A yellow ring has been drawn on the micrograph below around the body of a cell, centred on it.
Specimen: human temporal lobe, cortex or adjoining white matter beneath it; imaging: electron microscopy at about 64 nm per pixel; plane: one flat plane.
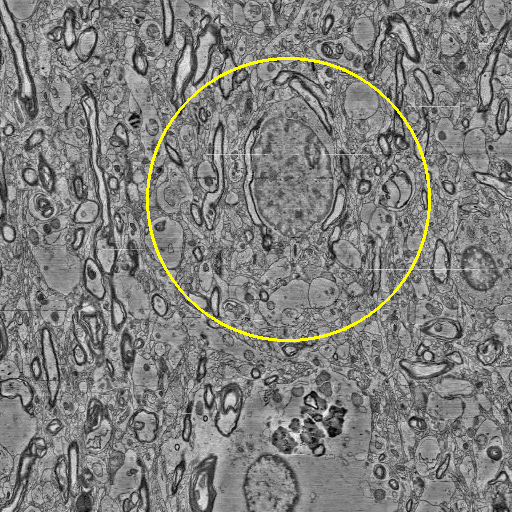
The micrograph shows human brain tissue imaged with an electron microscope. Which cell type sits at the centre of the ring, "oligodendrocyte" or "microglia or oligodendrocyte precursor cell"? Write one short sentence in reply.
The cell sitting at the centre of the ring is an oligodendrocyte.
